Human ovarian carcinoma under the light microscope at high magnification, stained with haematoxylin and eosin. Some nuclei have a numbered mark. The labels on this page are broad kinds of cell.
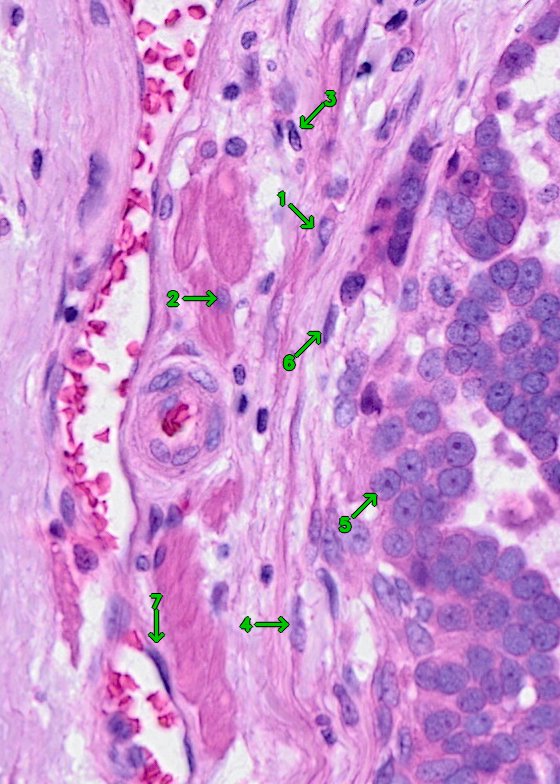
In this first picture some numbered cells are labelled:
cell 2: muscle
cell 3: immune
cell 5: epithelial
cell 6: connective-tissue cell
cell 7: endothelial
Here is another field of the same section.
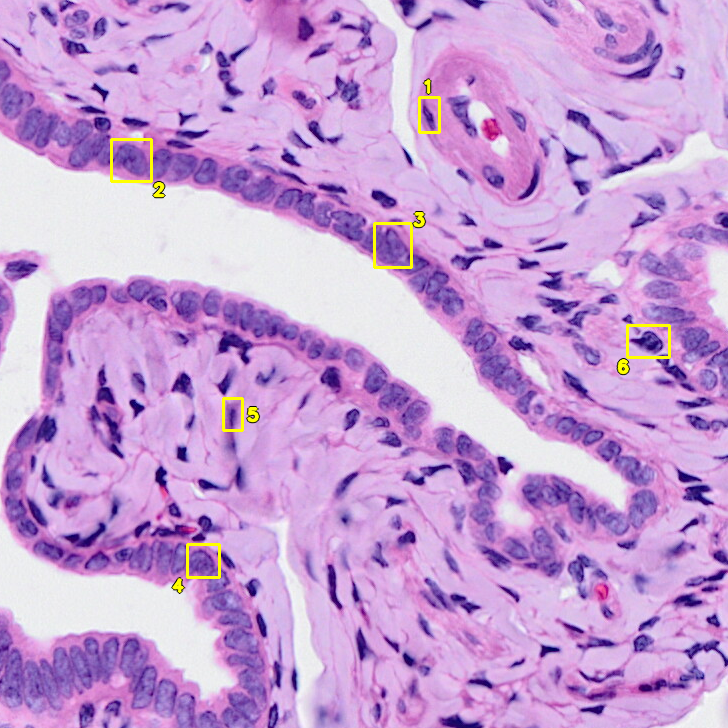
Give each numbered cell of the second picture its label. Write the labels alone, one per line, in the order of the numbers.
muscle
epithelial
epithelial
epithelial
endothelial
immune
